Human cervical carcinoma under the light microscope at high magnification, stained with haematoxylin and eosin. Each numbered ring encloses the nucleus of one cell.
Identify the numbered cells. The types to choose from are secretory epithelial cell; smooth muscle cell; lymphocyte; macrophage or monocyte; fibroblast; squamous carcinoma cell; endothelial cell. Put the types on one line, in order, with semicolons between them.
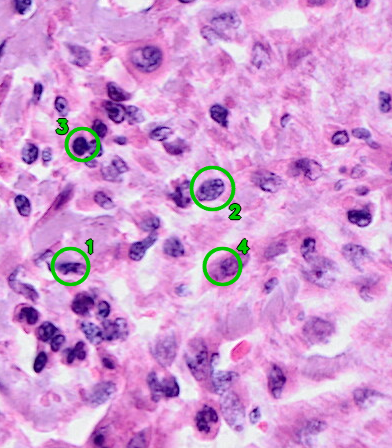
lymphocyte; lymphocyte; lymphocyte; macrophage or monocyte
